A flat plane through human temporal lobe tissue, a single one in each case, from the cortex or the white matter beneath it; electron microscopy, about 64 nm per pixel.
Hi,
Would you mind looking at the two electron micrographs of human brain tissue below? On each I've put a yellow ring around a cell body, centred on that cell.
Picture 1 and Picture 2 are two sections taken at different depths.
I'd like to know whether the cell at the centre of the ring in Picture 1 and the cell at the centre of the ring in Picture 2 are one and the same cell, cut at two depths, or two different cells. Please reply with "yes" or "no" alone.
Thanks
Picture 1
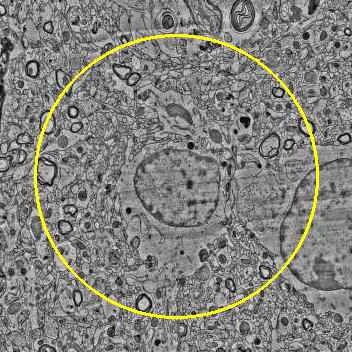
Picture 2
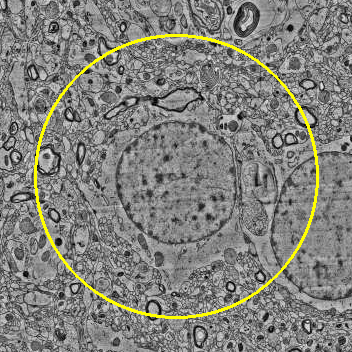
yes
